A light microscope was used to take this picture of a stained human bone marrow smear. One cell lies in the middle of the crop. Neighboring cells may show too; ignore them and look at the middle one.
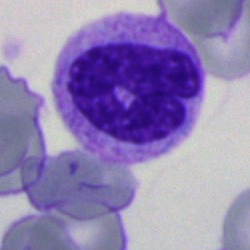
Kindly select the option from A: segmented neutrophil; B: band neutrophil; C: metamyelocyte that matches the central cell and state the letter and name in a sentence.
At the centre of the crop lies a band neutrophil, which makes option B correct.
